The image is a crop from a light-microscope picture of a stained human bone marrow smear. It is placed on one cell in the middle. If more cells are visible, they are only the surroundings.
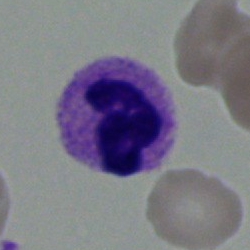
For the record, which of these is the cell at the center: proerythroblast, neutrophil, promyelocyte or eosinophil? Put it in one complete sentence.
By classification, the middle cell of this crop is a neutrophil.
